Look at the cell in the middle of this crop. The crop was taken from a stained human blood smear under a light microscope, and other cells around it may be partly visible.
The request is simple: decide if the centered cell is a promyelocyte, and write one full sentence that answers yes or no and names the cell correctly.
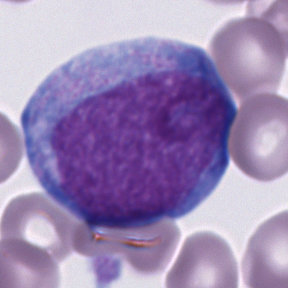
Yes, the cell found in the center of the crop is a promyelocyte.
